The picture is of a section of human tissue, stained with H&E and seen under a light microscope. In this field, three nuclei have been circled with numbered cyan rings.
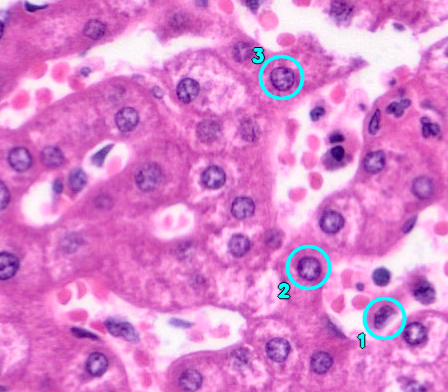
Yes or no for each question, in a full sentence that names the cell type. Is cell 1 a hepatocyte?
No, it is a Kupffer cell, not a hepatocyte, at number 1.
